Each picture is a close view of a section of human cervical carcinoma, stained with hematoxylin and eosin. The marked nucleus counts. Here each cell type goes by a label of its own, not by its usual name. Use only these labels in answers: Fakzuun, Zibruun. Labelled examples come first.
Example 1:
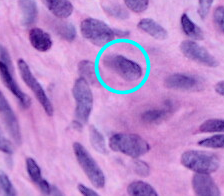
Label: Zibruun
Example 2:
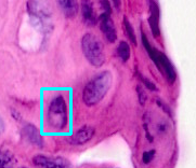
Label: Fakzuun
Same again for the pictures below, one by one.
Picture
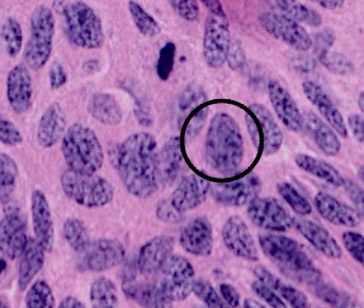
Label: Fakzuun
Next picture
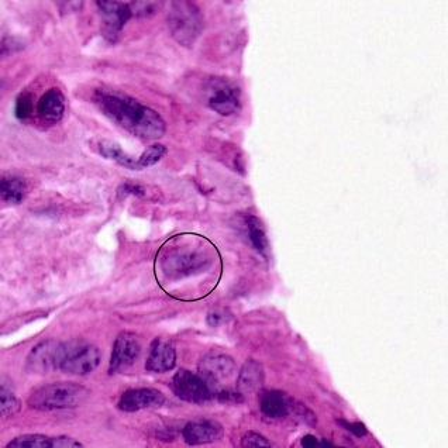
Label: Zibruun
